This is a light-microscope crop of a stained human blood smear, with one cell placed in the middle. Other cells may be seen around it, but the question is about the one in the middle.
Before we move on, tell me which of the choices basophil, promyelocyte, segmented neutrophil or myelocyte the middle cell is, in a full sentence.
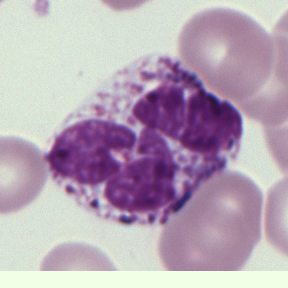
The cell featured at the centre of this crop is a basophil.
